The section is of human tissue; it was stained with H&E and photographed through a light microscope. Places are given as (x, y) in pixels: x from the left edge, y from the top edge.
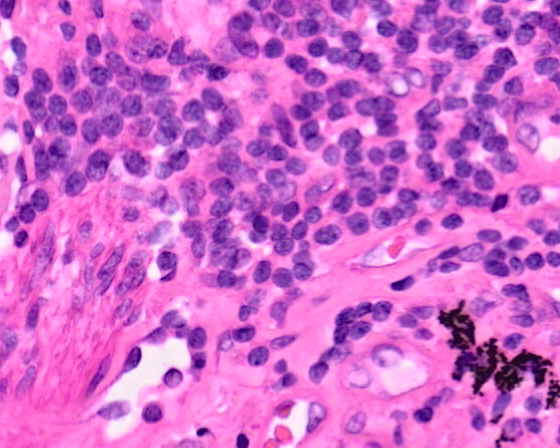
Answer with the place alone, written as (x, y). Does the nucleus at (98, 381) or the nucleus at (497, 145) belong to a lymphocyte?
(497, 145)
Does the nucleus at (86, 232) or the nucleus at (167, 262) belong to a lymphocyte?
(167, 262)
